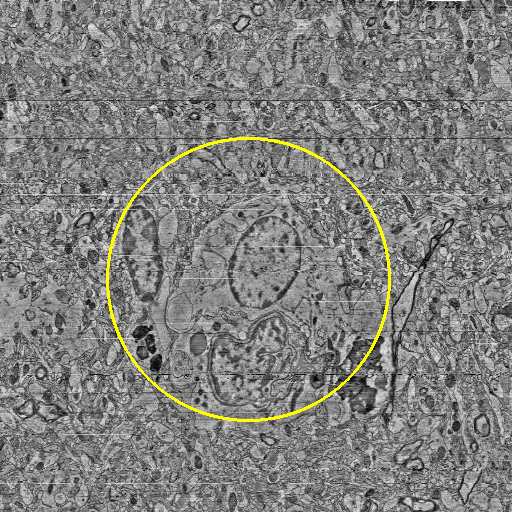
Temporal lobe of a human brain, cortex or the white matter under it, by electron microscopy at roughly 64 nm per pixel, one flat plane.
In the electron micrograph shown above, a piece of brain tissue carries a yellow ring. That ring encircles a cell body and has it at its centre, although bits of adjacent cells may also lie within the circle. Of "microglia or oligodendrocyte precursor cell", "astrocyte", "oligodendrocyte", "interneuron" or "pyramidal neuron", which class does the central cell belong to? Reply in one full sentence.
The cell body at the centre of the yellow ring belongs to an astrocyte.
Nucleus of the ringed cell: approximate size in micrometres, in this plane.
The nucleus comes to roughly 6 by 4 micrometres in this plane.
